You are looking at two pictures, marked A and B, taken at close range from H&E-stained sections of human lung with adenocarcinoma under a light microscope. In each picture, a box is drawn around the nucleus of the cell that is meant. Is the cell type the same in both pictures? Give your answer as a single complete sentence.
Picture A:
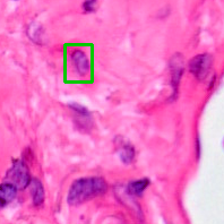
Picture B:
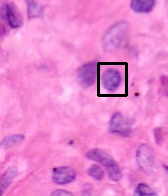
Yes, both cells are mast cells.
